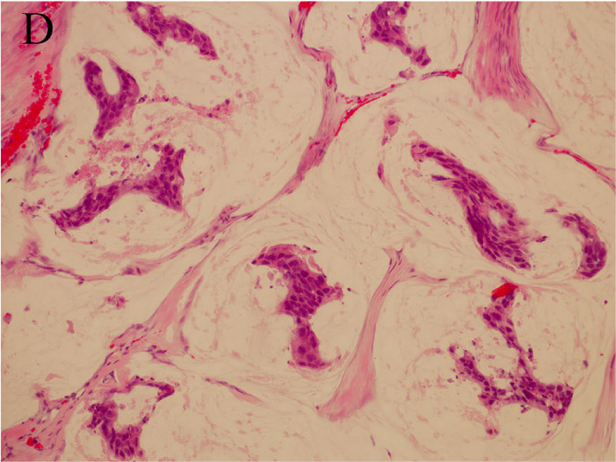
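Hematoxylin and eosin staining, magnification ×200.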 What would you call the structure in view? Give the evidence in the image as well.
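Extracellular mucin. Pale wispy material surrounds each cluster of tumour cells. The clusters do not touch the septa but lie suspended in the pale material.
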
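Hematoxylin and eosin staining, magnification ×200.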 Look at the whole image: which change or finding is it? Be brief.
Mucinous adenocarcinoma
